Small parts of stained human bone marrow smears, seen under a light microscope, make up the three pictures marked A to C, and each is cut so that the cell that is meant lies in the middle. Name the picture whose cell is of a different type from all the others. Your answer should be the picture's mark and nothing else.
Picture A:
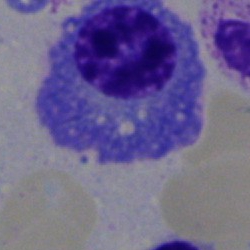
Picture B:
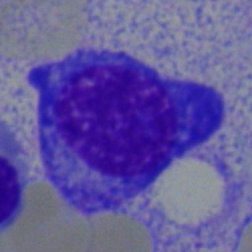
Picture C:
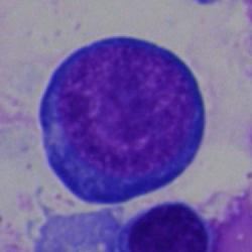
C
